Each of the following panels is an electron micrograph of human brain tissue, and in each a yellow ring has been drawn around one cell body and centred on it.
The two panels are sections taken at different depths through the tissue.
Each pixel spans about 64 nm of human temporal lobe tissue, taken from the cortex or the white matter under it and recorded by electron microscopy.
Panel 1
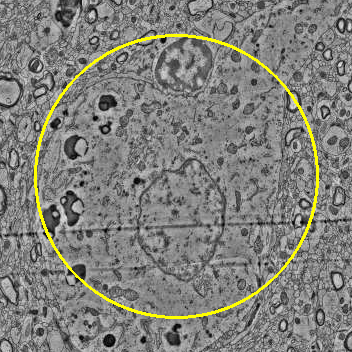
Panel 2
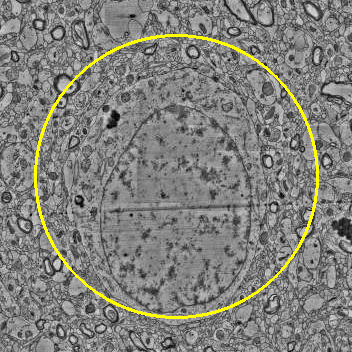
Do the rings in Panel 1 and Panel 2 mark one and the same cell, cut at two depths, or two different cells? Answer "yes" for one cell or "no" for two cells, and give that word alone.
no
